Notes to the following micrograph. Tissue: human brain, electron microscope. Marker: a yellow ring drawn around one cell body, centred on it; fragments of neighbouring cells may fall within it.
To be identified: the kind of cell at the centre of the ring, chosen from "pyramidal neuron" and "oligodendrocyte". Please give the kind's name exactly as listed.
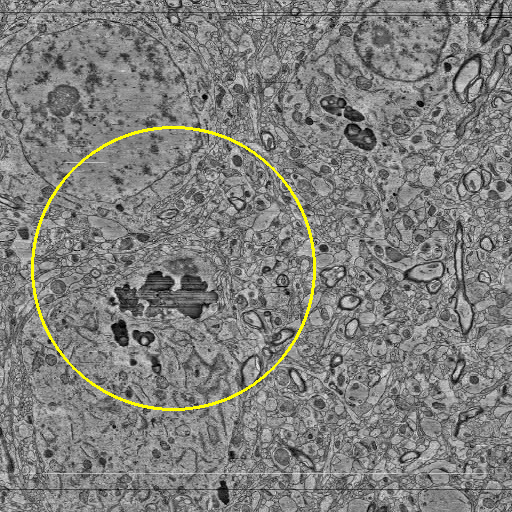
oligodendrocyte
